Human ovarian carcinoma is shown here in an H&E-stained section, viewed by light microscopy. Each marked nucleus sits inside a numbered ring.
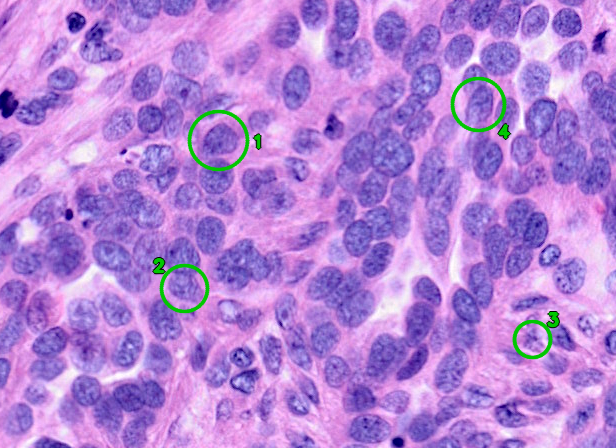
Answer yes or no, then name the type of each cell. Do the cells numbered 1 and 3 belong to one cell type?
No, in contrast to cell 1, which is a carcinoma cell, cell 3 is a fibroblast.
